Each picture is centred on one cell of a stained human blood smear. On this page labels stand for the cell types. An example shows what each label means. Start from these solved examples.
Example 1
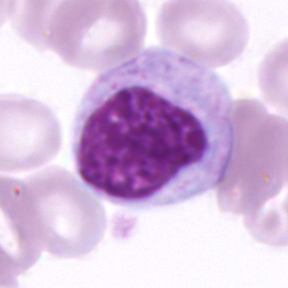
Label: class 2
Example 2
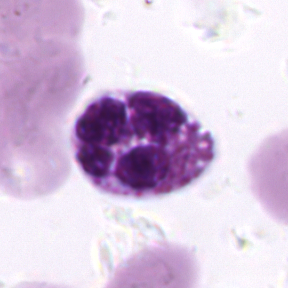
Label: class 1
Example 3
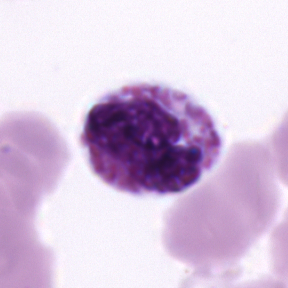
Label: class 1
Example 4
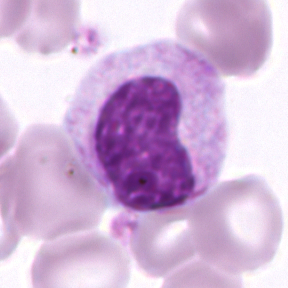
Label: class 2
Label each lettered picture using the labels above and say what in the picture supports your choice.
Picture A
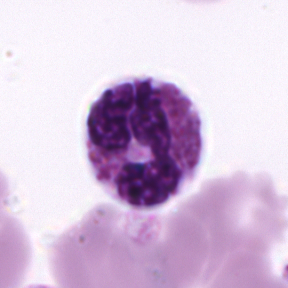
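class 1: The nucleus is divided into several lobes arranged in a loop around a small pale central gap.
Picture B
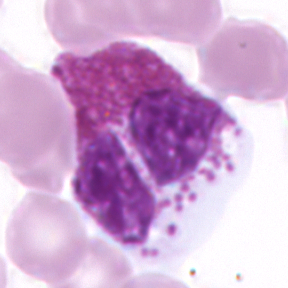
class 1: The nucleus is made of two large lobes lying side by side.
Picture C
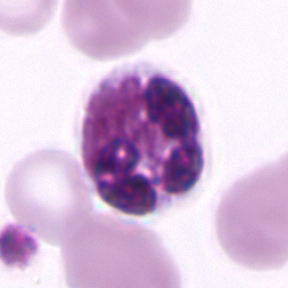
class 1: The nucleus is divided into four or more separate lobes.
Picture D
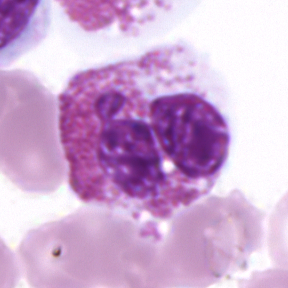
class 1: The nucleus is divided into two large lobes lying side by side.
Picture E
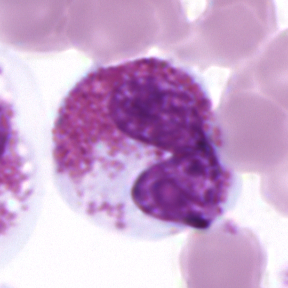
class 1: The nucleus has two lobes.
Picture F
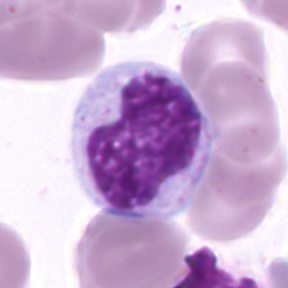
class 2: The cytoplasm holds only sparse, very fine pinkish dots.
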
